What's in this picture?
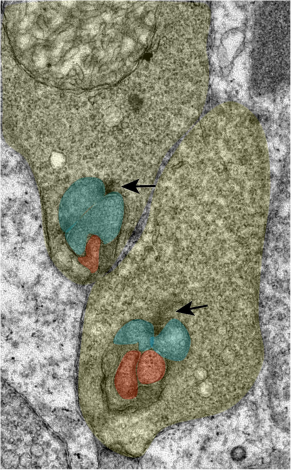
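Two yellow-tinted, rounded presynaptic terminals with granular, vesicle-rich cytoplasm lie stacked, with grey neuropil around them. In each, the base folds into a pocket containing paired blue profiles, and one terminal also has red profiles beneath the blue pair; in the other the red profile is small. Arrows mark the dark density above the blue pair, which here is short and faint, hardly projecting into the cytoplasm rather than forming a long sharp bar. These are rod photoreceptor terminals with horizontal cell and bipolar cell invaginations, whose ribbon synapses appear short and poorly defined.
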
